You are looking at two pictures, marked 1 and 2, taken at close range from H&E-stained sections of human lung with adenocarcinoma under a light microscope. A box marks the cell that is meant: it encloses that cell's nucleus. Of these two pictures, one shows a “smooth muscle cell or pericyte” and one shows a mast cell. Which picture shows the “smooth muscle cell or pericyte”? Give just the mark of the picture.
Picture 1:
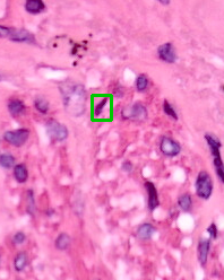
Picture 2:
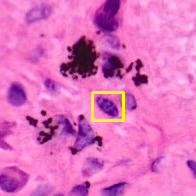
1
